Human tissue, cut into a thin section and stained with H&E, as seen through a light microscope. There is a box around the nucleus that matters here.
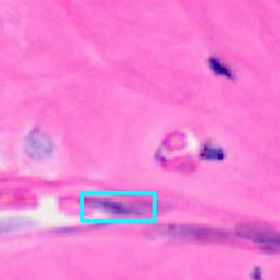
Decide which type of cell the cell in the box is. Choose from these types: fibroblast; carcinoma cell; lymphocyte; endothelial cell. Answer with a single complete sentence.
Placed in its cell category, the cell in the box is an endothelial cell.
